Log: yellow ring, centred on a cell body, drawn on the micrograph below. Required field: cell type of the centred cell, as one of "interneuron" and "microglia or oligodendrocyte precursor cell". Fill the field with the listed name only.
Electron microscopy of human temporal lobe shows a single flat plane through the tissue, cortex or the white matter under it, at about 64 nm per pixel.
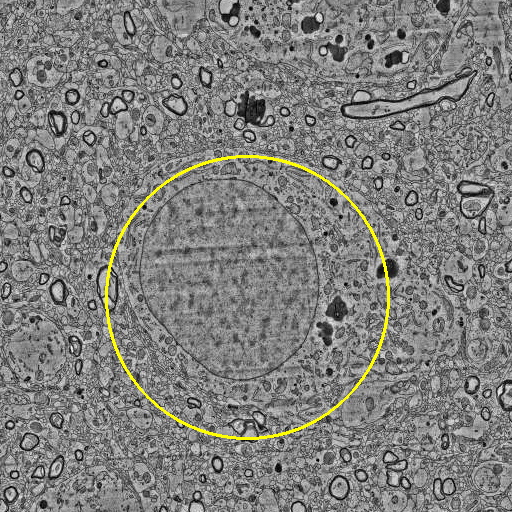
interneuron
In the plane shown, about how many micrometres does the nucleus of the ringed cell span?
In this plane the nucleus measures roughly 13 by 11 micrometres.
